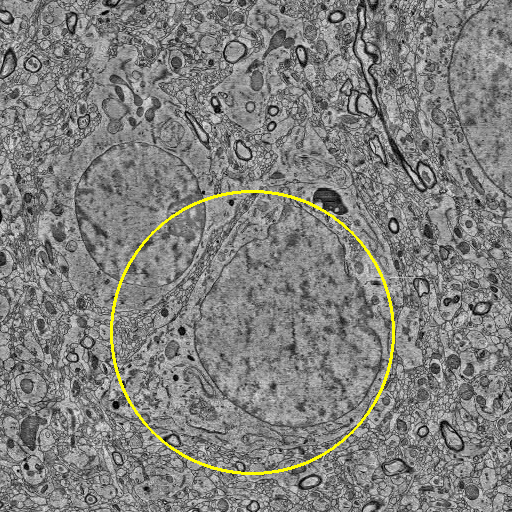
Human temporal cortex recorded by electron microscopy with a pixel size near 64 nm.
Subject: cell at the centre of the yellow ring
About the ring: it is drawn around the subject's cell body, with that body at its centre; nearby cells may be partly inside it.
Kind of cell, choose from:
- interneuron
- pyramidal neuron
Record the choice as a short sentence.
The subject cell is an interneuron.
